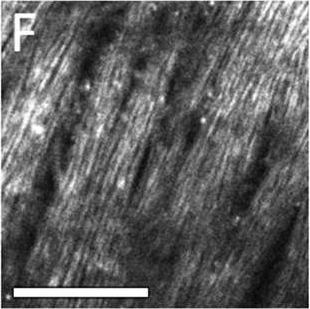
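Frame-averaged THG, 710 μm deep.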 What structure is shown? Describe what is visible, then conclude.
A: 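Bundles of myelinated axons. Densely packed parallel bright fibres running diagonally. Fibres grouped into bands separated by darker gaps.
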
